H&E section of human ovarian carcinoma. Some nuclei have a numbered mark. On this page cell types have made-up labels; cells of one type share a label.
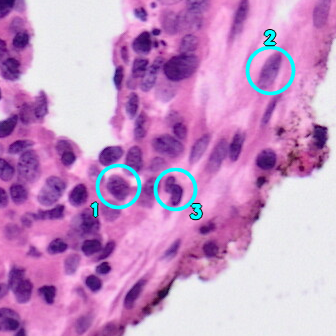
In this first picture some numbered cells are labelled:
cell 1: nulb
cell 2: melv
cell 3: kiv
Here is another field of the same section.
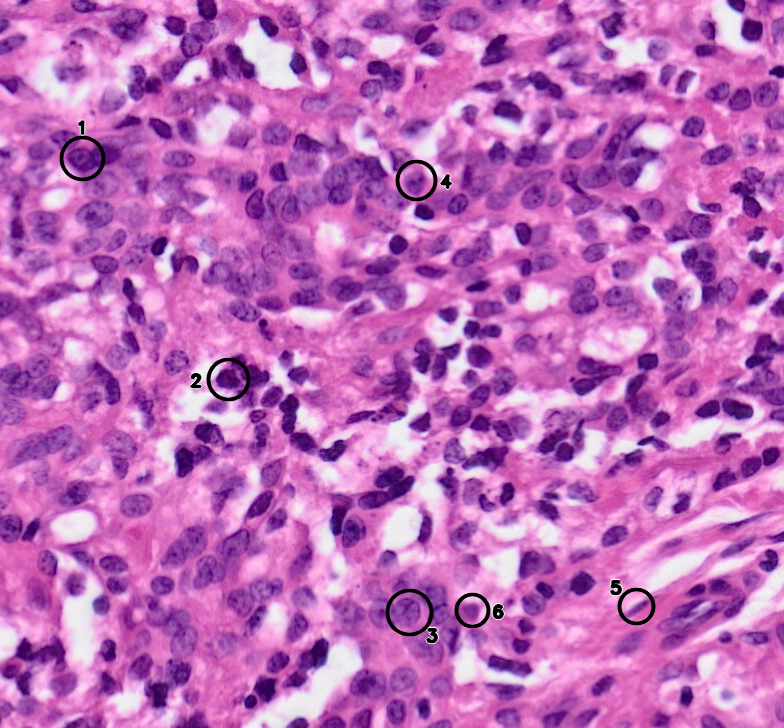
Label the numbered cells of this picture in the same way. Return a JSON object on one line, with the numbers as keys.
{"1": "nulb", "2": "nulb", "3": "nulb", "4": "kiv", "5": "melv", "6": "nulb"}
